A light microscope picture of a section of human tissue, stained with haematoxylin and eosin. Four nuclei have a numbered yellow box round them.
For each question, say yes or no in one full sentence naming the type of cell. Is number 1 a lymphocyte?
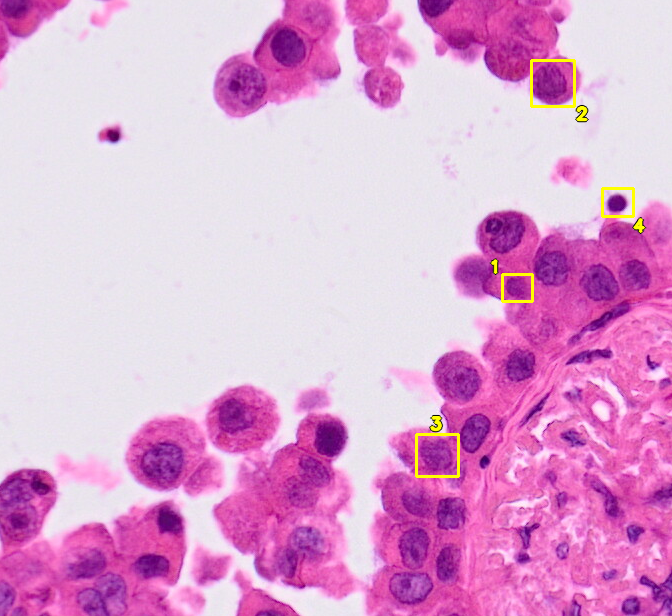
No, cell 1 should be classed as a carcinoma cell, not as a lymphocyte.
